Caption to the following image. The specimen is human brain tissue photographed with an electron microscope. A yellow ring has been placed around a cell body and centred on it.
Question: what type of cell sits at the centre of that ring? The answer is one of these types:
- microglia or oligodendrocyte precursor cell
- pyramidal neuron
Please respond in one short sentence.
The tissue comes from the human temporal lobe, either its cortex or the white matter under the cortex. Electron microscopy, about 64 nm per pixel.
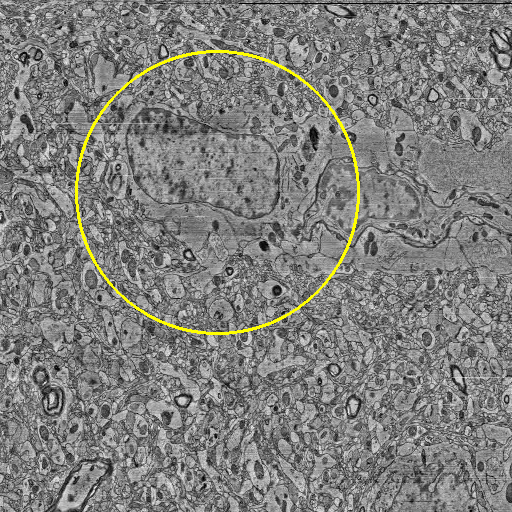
The ring surrounds the cell body of a microglial cell or oligodendrocyte precursor cell.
